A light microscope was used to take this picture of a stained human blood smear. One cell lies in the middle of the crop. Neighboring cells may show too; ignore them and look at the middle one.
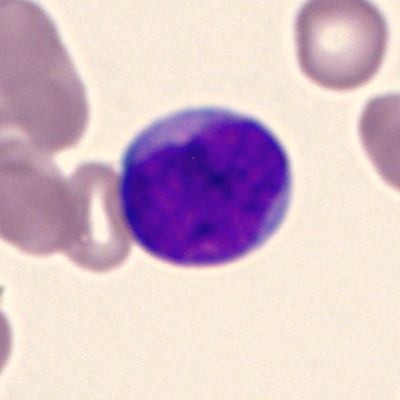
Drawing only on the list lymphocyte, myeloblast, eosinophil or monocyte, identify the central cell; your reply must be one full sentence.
The middle cell in this particular crop is a myeloblast.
